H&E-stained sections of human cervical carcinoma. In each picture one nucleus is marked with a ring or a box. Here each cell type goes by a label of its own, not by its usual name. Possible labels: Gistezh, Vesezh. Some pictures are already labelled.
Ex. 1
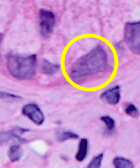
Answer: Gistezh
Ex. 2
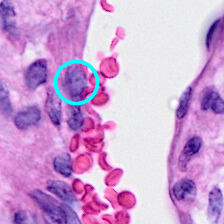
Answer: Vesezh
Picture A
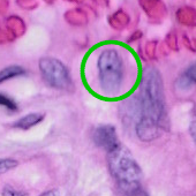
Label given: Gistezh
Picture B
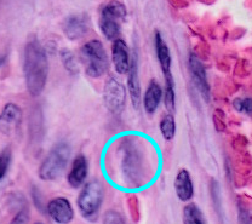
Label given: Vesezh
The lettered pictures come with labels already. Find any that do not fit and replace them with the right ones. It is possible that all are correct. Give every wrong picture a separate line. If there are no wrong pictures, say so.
A: Vesezh, not Gistezh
